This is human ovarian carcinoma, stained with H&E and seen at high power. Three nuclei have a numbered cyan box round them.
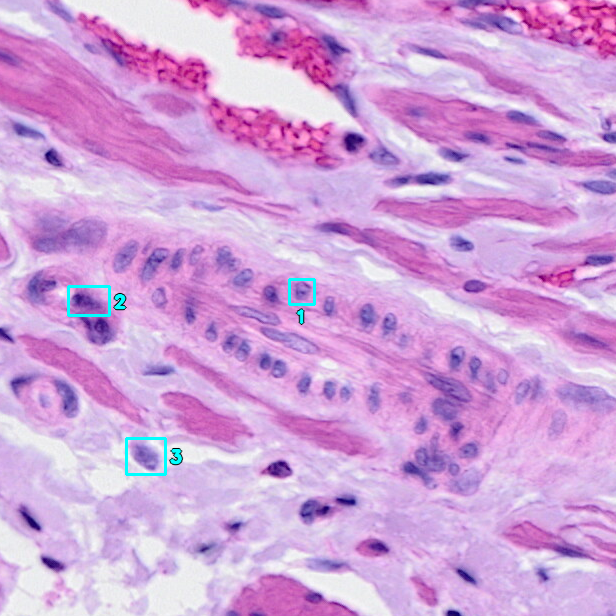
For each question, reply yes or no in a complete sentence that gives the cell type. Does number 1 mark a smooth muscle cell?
Yes, the cell labelled with number 1 is a smooth muscle cell.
